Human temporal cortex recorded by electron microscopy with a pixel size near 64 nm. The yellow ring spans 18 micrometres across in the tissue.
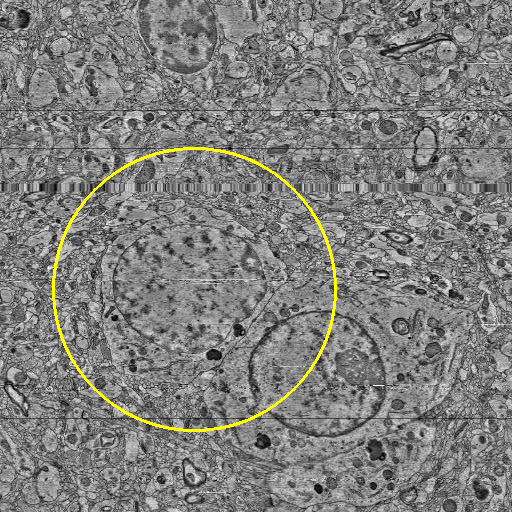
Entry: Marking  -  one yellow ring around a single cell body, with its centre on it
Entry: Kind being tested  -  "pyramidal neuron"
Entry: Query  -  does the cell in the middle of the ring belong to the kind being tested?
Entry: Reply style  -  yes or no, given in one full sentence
No, the centred cell within the ring in the picture belongs to a different kind.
